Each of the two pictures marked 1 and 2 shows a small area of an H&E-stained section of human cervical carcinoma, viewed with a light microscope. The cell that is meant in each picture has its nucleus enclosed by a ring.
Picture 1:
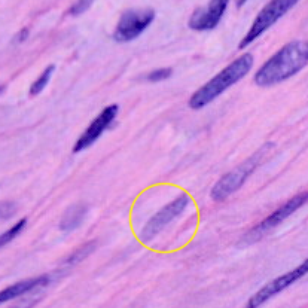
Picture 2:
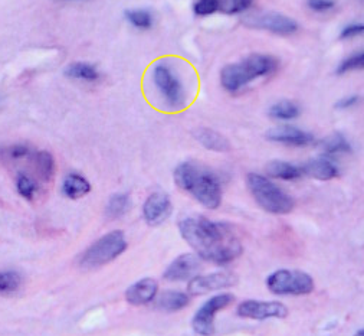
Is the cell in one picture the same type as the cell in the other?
no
